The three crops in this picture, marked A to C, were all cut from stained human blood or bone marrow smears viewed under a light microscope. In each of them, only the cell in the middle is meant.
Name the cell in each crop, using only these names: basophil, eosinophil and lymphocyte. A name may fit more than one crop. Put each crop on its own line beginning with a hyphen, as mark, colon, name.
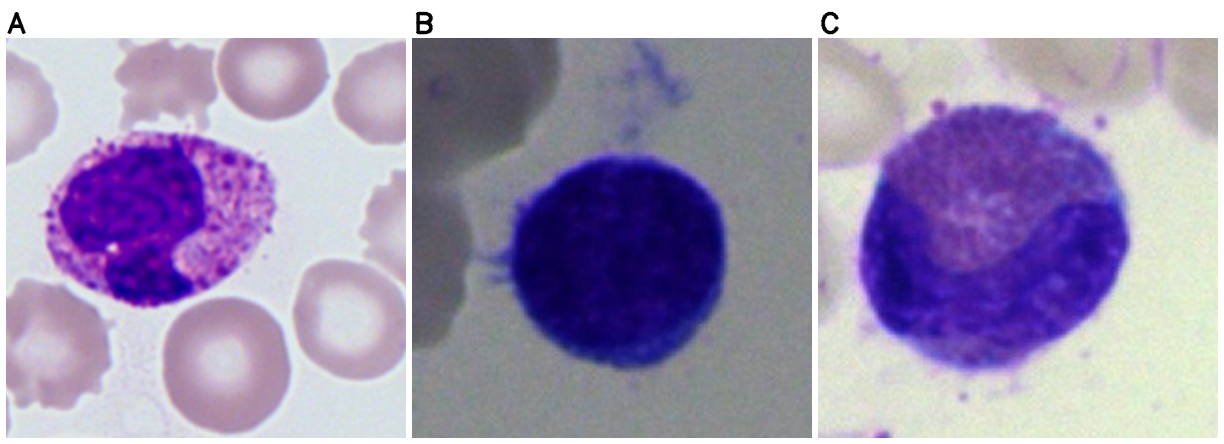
- A: basophil
- B: lymphocyte
- C: eosinophil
